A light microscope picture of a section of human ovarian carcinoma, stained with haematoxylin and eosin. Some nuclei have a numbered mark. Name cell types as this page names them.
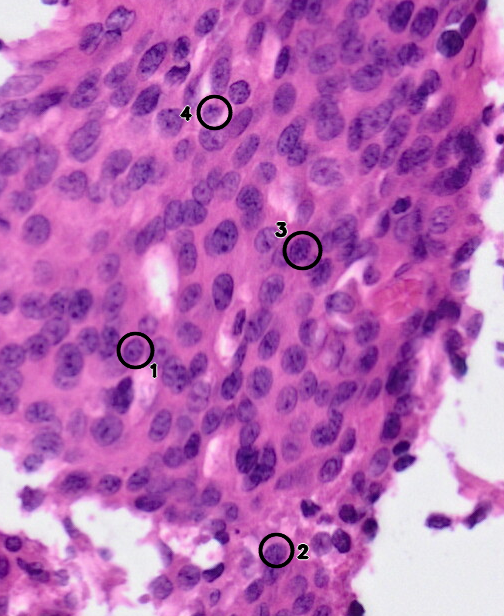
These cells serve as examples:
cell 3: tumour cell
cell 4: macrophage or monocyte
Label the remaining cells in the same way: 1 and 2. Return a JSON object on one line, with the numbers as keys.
{"1": "tumour cell", "2": "tumour cell"}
